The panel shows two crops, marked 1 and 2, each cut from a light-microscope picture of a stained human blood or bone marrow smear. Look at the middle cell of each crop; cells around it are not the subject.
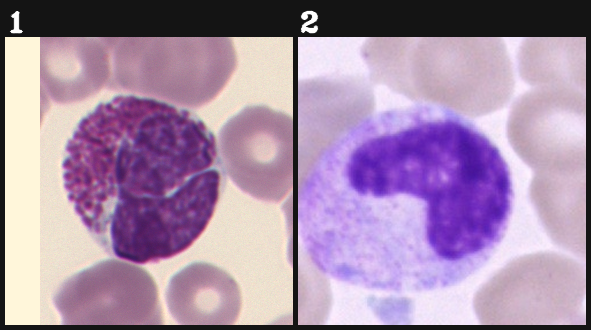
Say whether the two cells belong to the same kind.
no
